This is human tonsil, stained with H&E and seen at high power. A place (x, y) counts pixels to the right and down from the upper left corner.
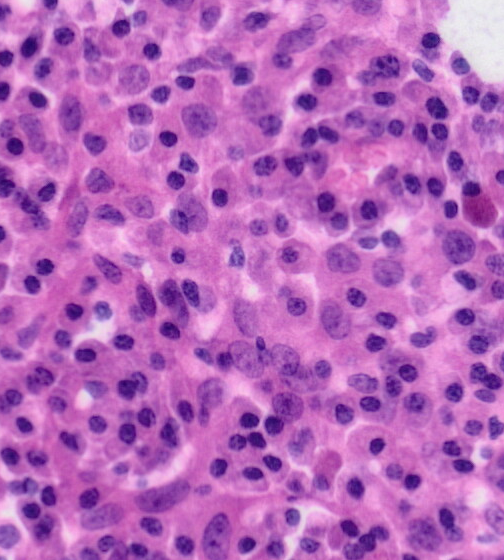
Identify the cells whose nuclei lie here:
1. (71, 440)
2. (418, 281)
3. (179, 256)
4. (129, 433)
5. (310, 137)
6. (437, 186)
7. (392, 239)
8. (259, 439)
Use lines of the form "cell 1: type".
cell 1: plasma cell
cell 2: squamous epithelial cell
cell 3: squamous epithelial cell
cell 4: plasma cell
cell 5: plasma cell
cell 6: plasma cell
cell 7: squamous epithelial cell
cell 8: plasma cell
